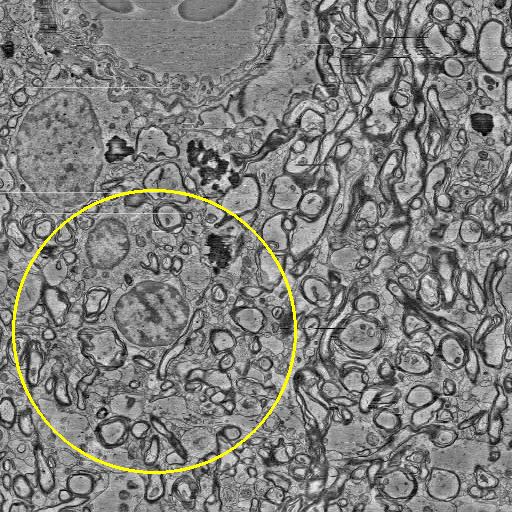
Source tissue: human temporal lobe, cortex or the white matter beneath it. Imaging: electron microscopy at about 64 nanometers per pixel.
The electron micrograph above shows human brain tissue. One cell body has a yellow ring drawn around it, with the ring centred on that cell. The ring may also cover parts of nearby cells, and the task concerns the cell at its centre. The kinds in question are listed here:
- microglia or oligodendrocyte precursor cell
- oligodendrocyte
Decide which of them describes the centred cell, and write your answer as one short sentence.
The centred cell is a microglial cell or oligodendrocyte precursor cell.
